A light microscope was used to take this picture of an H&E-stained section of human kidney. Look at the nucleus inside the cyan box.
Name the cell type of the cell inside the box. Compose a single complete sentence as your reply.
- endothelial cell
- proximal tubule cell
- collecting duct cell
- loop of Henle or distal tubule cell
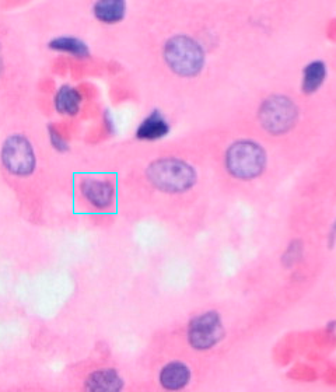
As classified here, the cell inside the box is a proximal tubule cell.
